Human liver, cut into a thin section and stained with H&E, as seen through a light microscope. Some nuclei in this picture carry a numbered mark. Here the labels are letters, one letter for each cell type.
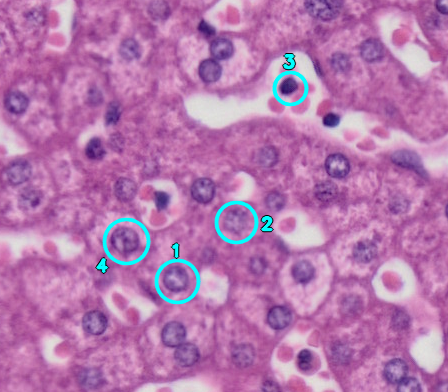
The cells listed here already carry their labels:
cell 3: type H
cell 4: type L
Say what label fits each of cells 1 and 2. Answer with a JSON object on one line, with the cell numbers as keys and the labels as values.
{"1": "type L", "2": "type L"}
